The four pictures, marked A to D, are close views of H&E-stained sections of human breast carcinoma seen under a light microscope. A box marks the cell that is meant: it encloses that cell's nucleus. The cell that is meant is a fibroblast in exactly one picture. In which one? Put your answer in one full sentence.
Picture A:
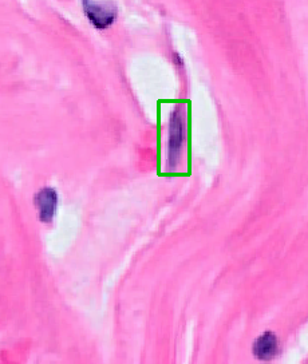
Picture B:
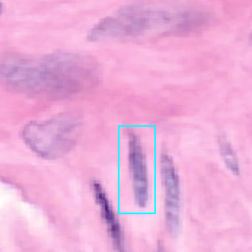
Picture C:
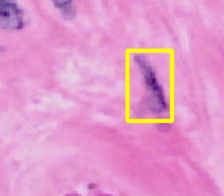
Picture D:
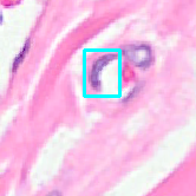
Picture C is the one that shows the fibroblast.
